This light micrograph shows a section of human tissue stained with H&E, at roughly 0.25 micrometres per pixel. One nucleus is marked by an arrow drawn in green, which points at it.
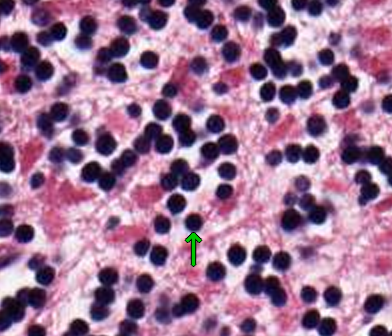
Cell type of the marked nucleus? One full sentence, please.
The marked nucleus is that of a cerebellar granule cell.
